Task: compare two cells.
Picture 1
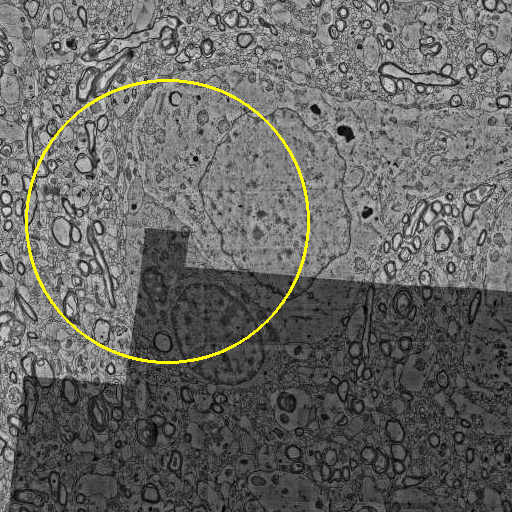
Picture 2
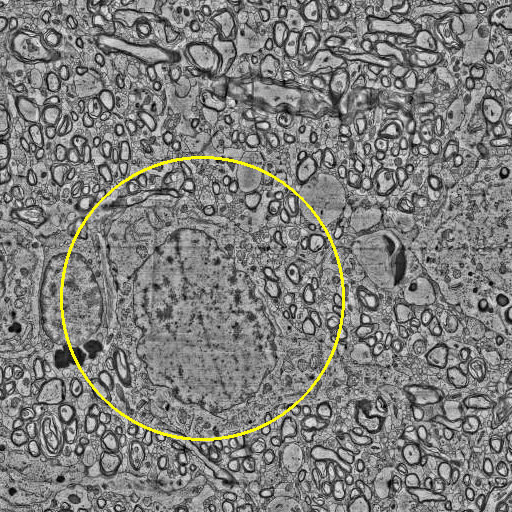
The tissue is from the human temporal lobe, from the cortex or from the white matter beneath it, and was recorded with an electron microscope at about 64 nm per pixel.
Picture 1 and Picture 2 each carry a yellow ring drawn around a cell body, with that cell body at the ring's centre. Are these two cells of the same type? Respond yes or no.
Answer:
no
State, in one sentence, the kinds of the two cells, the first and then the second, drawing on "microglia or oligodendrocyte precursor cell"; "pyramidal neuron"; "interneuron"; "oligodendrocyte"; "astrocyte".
The ring in the second picture is centred on an interneuron, the ring in the first on an oligodendrocyte.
